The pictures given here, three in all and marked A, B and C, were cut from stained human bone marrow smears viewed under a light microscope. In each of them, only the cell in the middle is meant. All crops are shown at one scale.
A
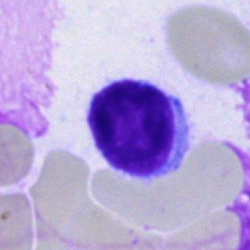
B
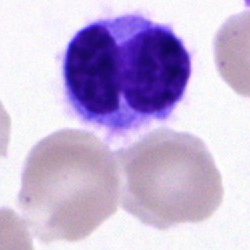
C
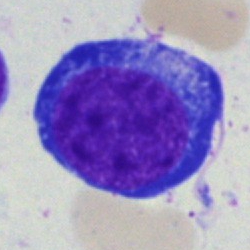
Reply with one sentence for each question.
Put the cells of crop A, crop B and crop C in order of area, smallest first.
Smallest first: A, B, C.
